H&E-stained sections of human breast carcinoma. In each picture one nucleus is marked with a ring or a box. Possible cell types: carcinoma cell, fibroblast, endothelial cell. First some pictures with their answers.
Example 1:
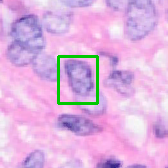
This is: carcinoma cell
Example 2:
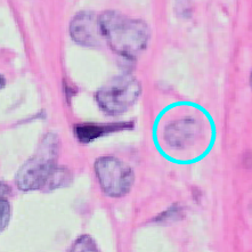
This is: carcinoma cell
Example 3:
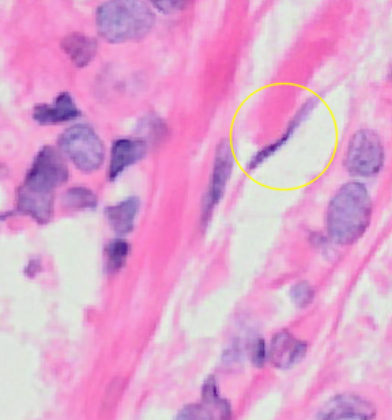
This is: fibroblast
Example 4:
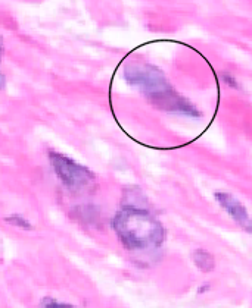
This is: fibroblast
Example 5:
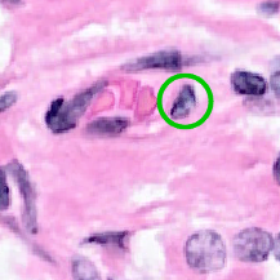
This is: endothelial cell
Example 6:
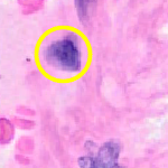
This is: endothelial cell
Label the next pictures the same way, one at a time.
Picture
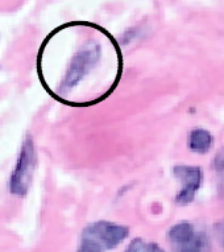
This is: fibroblast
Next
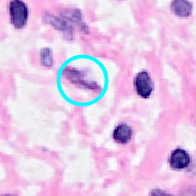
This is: fibroblast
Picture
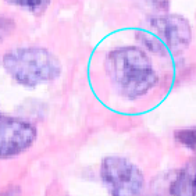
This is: carcinoma cell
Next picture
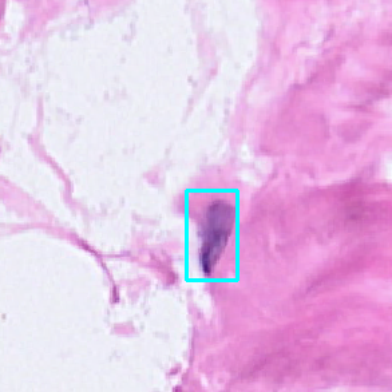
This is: fibroblast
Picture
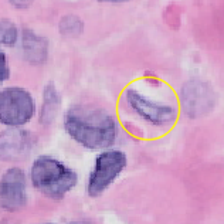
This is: endothelial cell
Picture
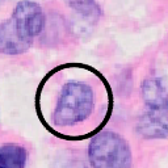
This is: carcinoma cell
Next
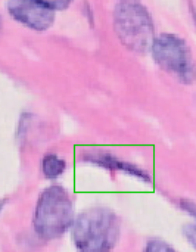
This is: fibroblast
